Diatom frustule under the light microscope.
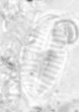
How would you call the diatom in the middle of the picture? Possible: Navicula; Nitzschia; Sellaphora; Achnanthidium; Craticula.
I would call it Craticula.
